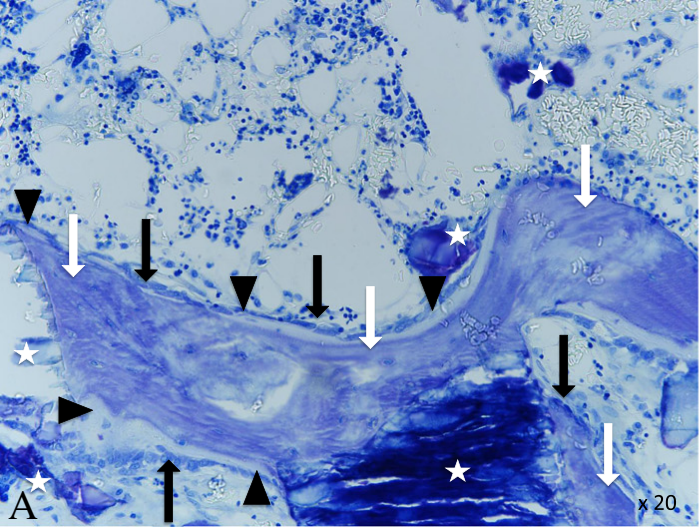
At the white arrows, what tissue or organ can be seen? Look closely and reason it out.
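Bone. The white arrows lie on broad pale blue-violet bands of matrix. The matrix has a layered texture with scattered small lacunae.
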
